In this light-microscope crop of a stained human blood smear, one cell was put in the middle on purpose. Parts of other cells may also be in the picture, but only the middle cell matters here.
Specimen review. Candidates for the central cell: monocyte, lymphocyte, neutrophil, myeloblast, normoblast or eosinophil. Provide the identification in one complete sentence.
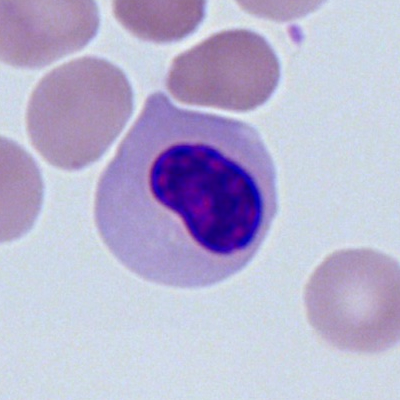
Classification of the middle cell gives a normoblast.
